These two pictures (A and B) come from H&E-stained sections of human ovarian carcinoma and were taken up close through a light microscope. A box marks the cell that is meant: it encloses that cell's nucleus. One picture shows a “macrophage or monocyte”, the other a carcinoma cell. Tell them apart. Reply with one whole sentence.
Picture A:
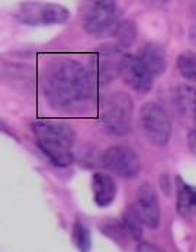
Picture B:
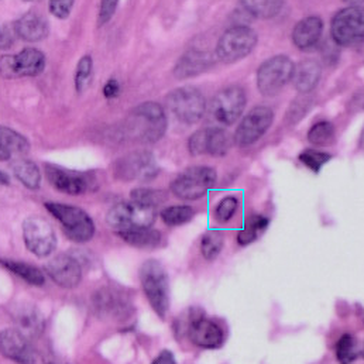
Picture B shows a “macrophage or monocyte”, while picture A shows a carcinoma cell.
